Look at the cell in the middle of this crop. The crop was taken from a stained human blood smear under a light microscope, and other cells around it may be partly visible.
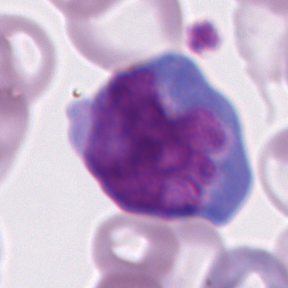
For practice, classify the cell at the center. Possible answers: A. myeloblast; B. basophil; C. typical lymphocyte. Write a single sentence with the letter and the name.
The cell in the middle is a myeloblast, and that makes option A correct.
